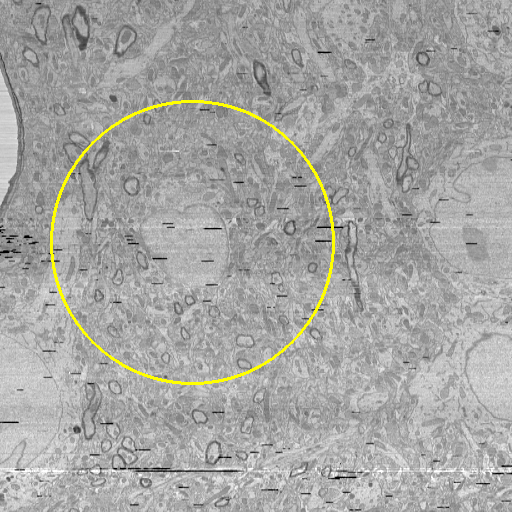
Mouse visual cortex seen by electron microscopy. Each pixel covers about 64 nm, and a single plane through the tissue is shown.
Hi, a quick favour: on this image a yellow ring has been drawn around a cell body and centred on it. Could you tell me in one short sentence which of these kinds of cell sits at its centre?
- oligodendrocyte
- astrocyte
The ring is centred on an astrocyte.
